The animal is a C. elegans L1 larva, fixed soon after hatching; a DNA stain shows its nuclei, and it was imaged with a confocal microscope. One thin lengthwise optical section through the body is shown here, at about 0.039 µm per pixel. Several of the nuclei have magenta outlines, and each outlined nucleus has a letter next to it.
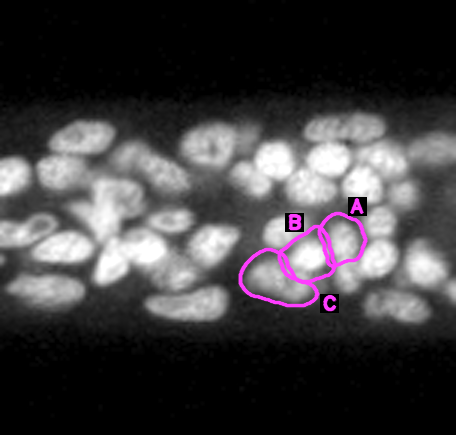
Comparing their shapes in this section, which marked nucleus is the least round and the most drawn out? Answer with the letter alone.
C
